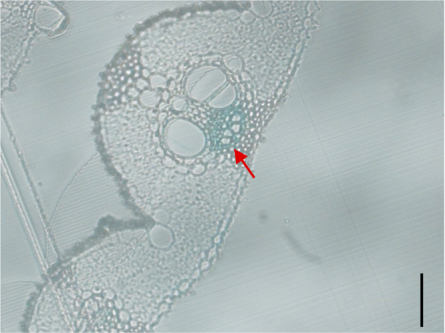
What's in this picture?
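The bundle lies in the middle of the section and contains two large, round, thick-walled open vessels side by side. Beside these vessels sits a compact cluster of small, tightly packed cells that carries the blue-green colour. A thin layer of small cells lines the outer surface of the section, and the rest of the tissue is pale and unstained.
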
